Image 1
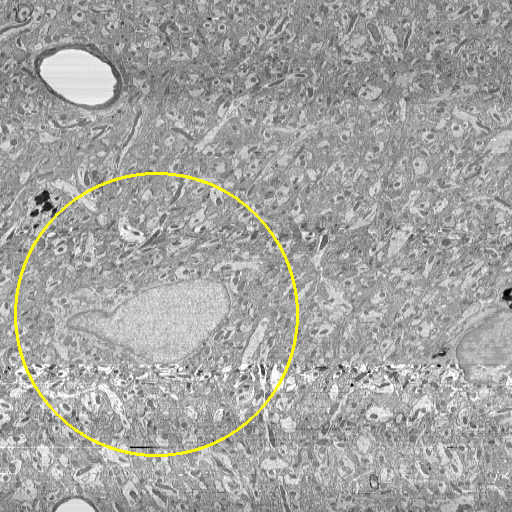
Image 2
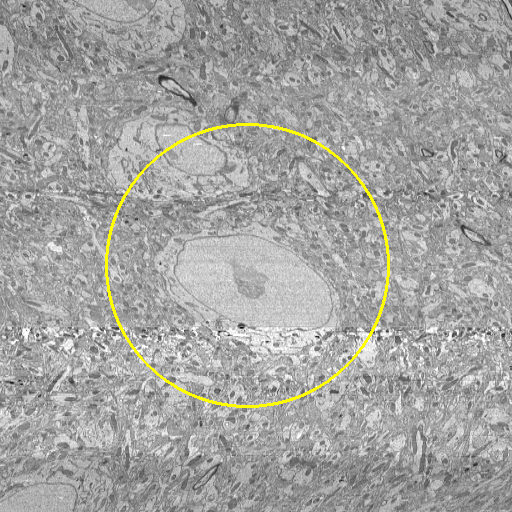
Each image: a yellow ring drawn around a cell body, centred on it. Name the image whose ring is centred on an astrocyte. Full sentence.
That is Image 1.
